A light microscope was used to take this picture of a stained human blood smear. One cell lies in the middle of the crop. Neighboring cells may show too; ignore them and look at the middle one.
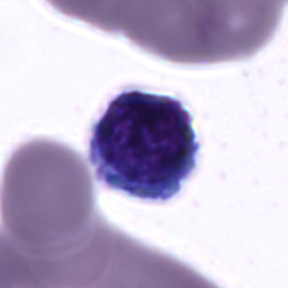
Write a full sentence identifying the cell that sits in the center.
The cell that lies at the centre of the crop is a plasma cell.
